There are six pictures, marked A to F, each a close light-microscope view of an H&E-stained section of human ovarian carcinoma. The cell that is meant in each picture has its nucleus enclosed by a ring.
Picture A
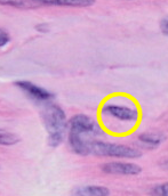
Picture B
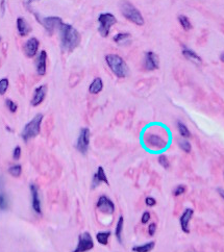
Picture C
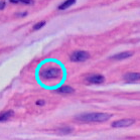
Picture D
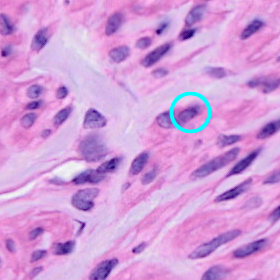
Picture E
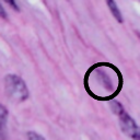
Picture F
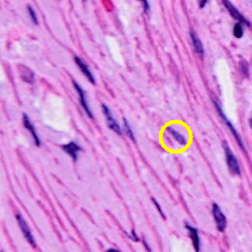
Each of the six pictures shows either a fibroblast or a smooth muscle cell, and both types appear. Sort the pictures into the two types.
A: smooth muscle cell
B: smooth muscle cell
C: smooth muscle cell
D: smooth muscle cell
E: fibroblast
F: fibroblast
